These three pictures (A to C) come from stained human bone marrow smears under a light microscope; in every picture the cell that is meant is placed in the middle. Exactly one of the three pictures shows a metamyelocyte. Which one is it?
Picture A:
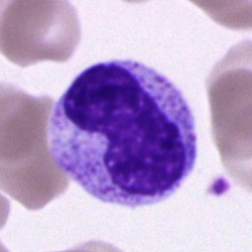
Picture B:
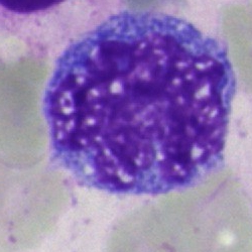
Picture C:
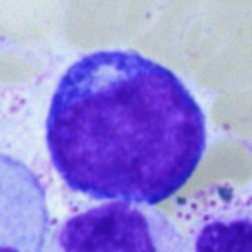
A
